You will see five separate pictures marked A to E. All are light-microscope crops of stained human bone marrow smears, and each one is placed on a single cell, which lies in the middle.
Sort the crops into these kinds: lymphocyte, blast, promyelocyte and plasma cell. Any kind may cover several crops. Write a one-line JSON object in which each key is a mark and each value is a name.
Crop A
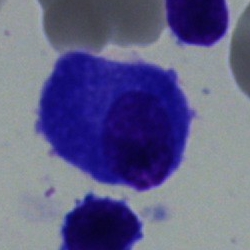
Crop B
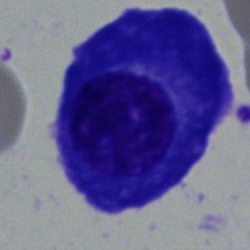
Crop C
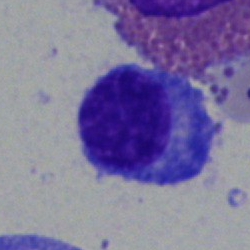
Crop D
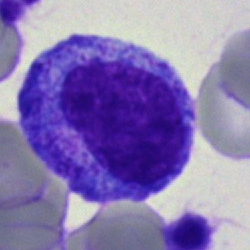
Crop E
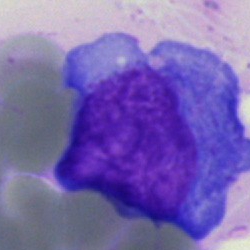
{"A": "plasma cell", "B": "plasma cell", "C": "plasma cell", "D": "promyelocyte", "E": "blast"}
